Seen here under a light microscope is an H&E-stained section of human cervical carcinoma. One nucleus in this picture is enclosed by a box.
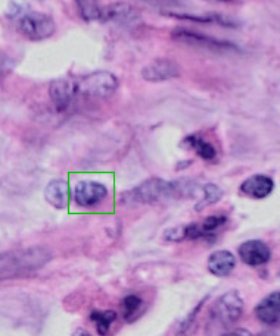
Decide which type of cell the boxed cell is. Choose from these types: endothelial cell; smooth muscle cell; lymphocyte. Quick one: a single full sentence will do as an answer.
The cell type of the boxed cell is that of a lymphocyte.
